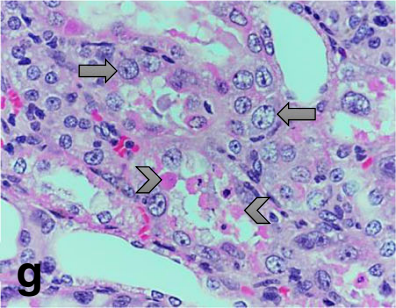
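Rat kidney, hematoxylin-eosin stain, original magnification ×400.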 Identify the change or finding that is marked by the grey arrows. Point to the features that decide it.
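Tubular cells carry large, pale, open nuclei. Distinct dark nucleoli stand out inside the nuclei. That points to this answer: enlarged nuclei and prominent nucleoli.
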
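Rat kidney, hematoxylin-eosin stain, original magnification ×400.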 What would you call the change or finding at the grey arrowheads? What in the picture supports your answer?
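Apoptotic tubular epithelial cells. Small, shrunken, deeply pink bodies lie among the tubular cells. Some carry dense dark nuclear fragments.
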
